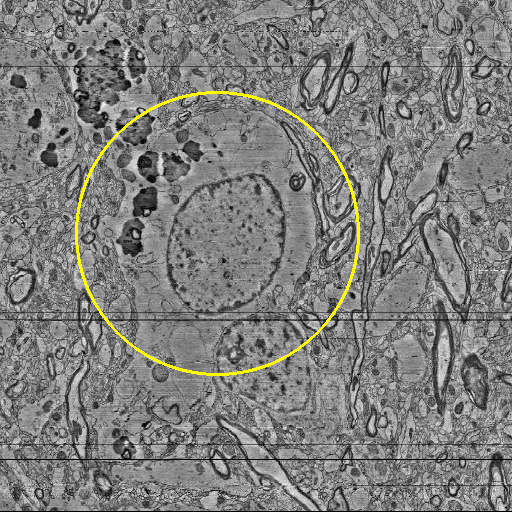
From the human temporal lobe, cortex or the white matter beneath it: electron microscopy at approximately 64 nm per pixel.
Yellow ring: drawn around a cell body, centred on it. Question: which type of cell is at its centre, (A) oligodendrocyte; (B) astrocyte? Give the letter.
B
